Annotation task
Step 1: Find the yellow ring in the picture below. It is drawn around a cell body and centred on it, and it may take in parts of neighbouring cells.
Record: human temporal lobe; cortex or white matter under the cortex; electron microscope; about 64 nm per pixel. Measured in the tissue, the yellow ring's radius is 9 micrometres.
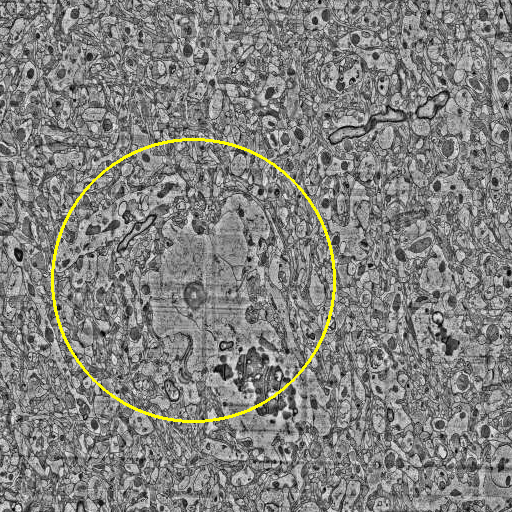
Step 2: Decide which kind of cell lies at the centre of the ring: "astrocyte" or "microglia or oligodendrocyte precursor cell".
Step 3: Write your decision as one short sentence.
The kind of cell at the ring's centre is an astrocyte.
